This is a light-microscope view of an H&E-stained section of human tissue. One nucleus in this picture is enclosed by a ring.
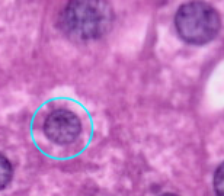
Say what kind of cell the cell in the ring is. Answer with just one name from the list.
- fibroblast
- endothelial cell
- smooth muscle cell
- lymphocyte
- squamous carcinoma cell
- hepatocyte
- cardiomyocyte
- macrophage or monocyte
hepatocyte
